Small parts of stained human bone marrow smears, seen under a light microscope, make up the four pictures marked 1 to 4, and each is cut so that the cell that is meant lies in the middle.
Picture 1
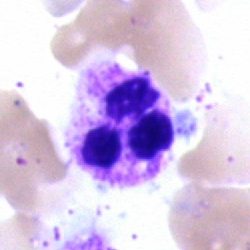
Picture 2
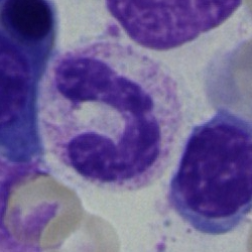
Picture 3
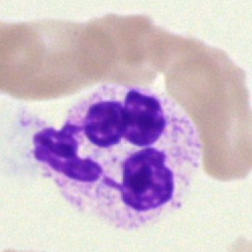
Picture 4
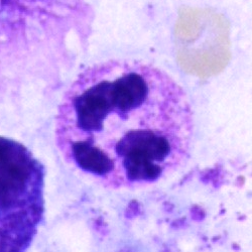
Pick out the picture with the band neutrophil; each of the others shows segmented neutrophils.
2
